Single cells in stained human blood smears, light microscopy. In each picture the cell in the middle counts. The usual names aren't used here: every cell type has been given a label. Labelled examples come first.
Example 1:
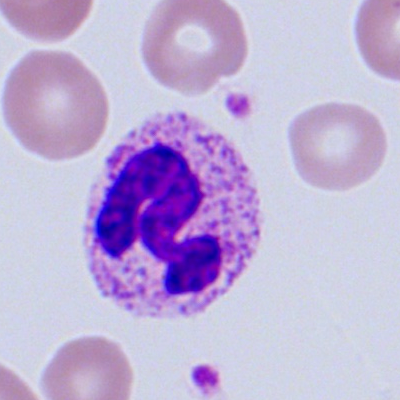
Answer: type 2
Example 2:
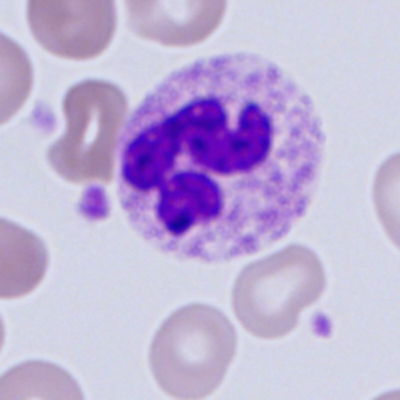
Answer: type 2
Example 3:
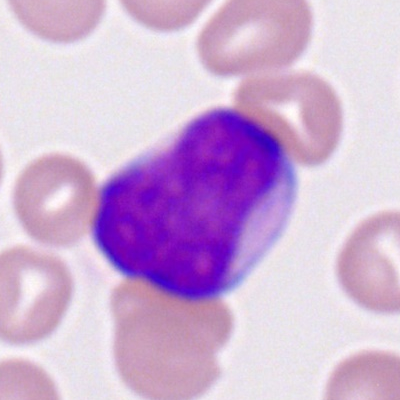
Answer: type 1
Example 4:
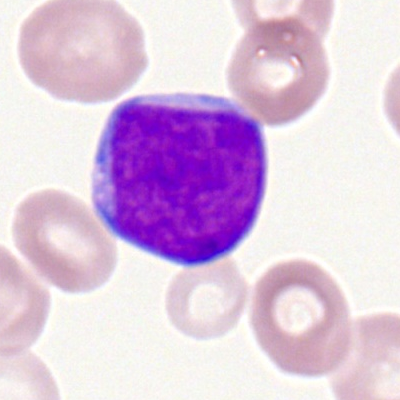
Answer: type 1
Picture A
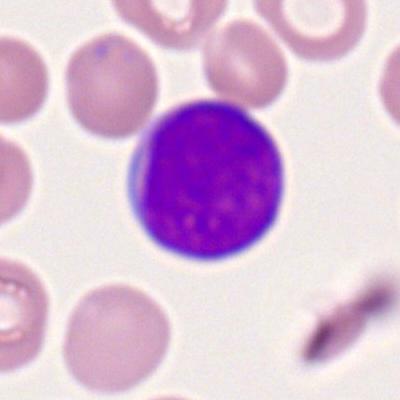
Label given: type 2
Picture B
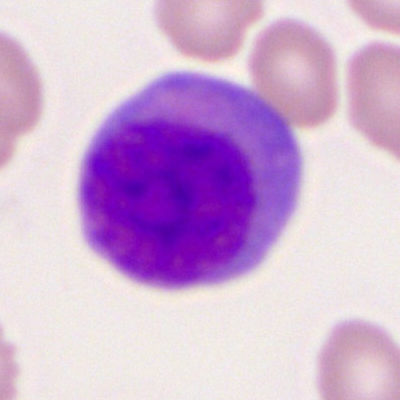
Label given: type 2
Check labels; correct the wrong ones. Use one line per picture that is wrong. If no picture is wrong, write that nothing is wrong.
A is labelled type 2; correct label: type 1
B is labelled type 2; correct label: type 1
